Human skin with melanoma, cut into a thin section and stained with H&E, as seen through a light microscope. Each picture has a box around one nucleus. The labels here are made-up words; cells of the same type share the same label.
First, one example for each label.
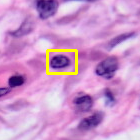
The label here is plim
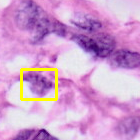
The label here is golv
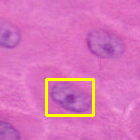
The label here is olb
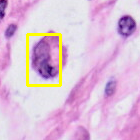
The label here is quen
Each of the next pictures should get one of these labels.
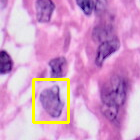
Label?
quen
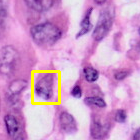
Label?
quen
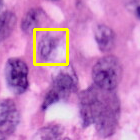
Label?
golv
